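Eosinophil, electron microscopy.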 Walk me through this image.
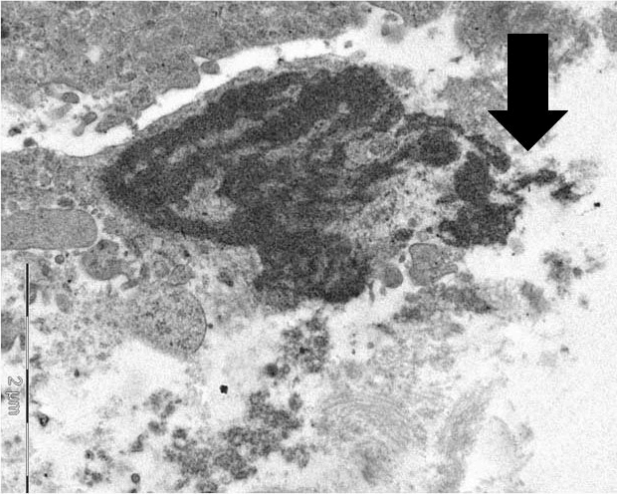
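No smooth, intact nuclear outline surrounds it; instead the mass is made of coarse dark clumps separated by paler spaces, and at one side it frays into ragged fragments that spread into the surrounding pale space. Beside it lie scraps of cytoplasm with membrane-bound oval organelles, and below it loose flocculent debris and a whorl of concentric membranes. A narrow clear cleft separates the mass from neighbouring cell material above.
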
